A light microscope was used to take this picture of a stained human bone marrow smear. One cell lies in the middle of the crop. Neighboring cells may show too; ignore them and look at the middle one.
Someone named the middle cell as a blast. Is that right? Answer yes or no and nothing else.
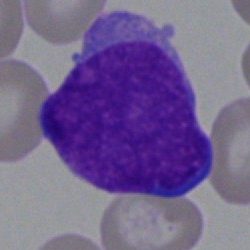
yes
